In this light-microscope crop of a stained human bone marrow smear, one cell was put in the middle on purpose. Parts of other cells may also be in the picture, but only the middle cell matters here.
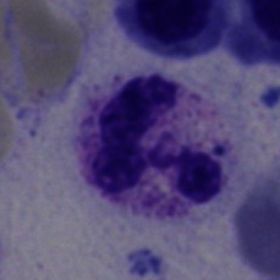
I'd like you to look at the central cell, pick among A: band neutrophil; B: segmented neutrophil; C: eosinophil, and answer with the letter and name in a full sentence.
Option B is correct in that the central cell is a segmented neutrophil.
